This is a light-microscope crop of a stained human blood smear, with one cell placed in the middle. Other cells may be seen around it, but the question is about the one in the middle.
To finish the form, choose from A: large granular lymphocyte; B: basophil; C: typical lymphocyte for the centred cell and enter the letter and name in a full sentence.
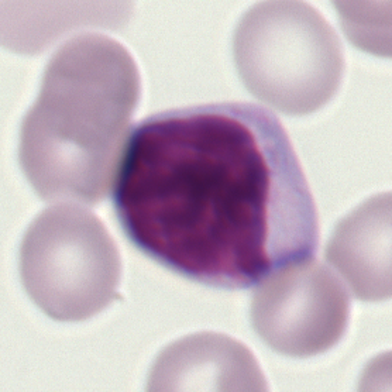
The centrally located cell is a large granular lymphocyte, making option A the correct choice.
